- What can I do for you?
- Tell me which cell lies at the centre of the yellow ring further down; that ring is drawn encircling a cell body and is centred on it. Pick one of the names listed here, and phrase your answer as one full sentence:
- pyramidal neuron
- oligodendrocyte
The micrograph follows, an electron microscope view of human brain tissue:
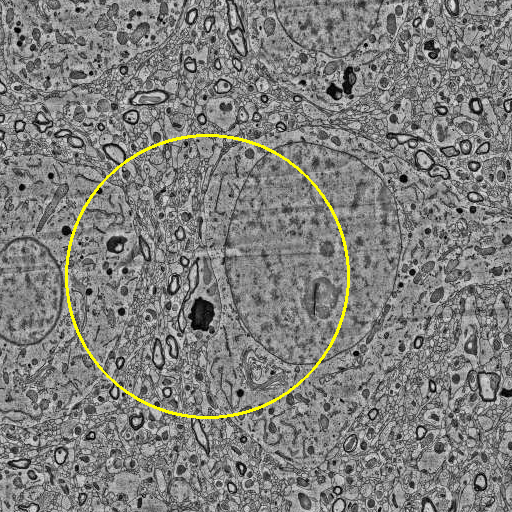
The cell whose body lies at the centre of the yellow ring is an oligodendrocyte.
